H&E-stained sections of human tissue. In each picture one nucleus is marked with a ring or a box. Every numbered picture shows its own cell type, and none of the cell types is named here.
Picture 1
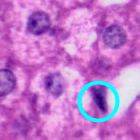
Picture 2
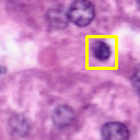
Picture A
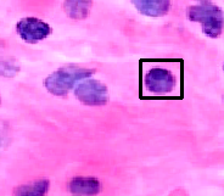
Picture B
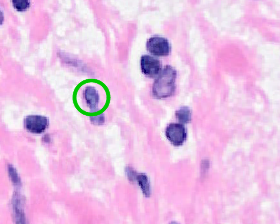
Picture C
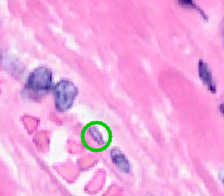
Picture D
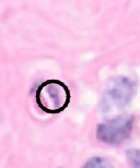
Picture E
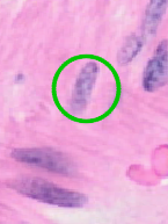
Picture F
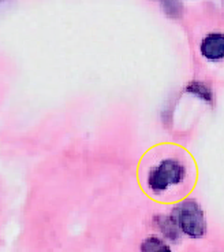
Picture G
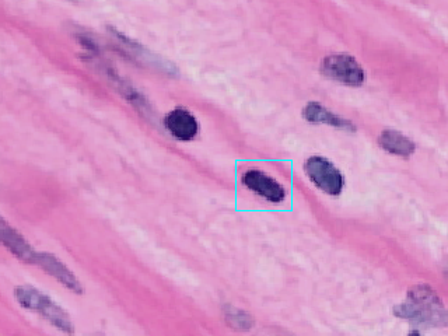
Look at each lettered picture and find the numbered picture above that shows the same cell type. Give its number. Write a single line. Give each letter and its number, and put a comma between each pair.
A 2, B 2, C 1, D 1, E 1, F 2, G 2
